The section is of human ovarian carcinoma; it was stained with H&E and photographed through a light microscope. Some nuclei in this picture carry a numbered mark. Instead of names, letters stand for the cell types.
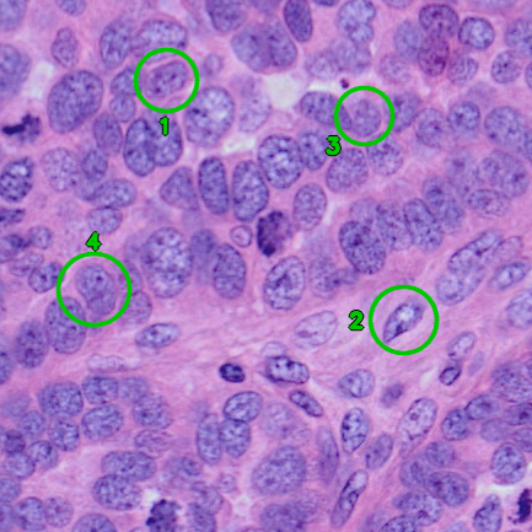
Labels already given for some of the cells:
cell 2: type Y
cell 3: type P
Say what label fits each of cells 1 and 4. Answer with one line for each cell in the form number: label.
1: type P
4: type P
